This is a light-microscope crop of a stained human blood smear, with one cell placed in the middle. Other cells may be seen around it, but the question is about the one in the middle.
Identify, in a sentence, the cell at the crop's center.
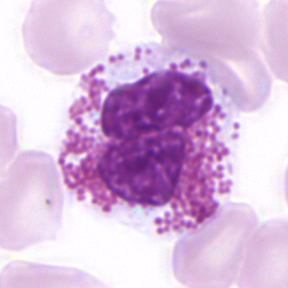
The cell at the heart of this crop is an eosinophil.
